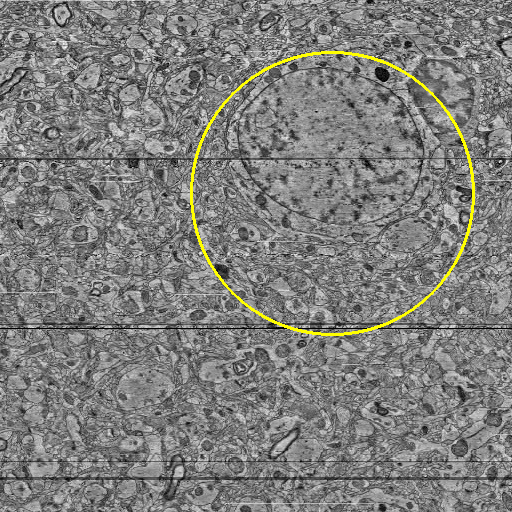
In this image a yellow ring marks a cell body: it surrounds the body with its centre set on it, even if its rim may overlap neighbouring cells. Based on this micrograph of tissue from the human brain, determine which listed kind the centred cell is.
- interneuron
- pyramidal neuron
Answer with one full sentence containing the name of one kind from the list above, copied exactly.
It is a pyramidal neuron whose body the yellow ring encloses at its centre.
